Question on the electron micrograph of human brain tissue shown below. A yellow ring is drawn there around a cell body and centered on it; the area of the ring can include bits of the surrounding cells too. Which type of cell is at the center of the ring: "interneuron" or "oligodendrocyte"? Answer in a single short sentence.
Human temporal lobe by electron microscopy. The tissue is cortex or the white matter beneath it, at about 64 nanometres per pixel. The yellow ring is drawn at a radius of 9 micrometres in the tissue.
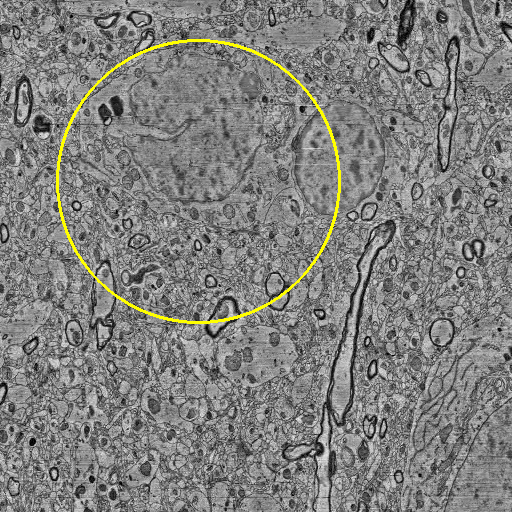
The ring is centered on an interneuron.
